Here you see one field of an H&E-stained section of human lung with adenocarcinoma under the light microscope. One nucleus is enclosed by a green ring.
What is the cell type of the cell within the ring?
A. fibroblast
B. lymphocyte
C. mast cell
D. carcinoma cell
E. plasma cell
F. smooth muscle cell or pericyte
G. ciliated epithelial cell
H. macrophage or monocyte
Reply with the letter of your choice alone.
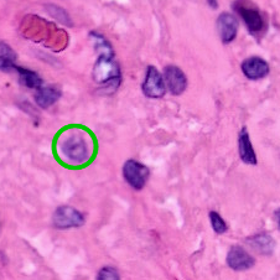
A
